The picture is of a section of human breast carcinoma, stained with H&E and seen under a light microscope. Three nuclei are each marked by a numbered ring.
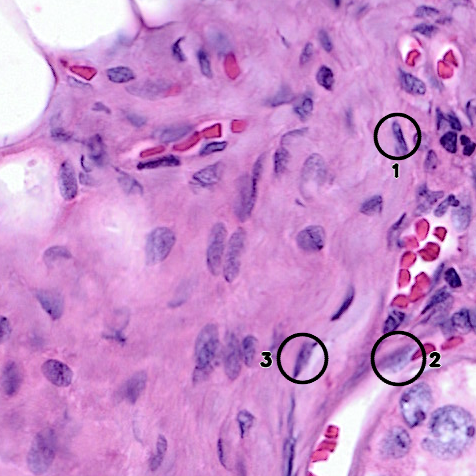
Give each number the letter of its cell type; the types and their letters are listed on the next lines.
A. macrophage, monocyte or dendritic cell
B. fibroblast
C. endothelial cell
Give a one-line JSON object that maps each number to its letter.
{"1": "B", "2": "C", "3": "B"}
